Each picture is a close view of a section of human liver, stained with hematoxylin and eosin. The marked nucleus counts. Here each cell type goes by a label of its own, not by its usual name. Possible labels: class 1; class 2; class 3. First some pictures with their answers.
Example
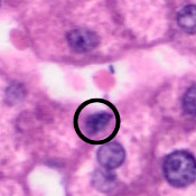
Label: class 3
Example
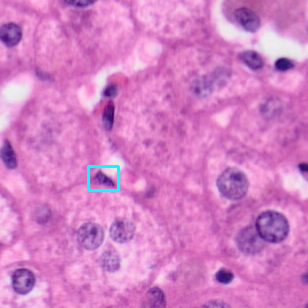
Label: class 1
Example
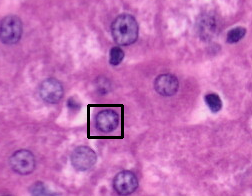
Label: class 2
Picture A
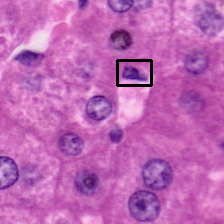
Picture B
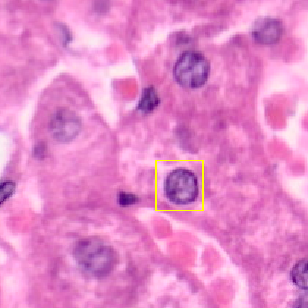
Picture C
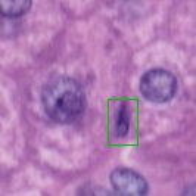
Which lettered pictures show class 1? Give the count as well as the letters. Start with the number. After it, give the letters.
Count: 1 (A)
